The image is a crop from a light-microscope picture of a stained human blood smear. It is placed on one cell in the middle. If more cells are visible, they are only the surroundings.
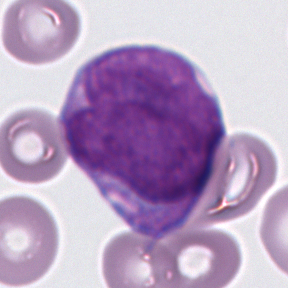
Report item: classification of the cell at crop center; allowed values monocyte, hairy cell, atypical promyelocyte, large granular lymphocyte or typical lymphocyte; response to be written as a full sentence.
Seen at the centre of the crop is an atypical promyelocyte.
